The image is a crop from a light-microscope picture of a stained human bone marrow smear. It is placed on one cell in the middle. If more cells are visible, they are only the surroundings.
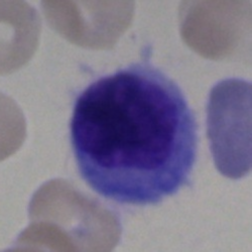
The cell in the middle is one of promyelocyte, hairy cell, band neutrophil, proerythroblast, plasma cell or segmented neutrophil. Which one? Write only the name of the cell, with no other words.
hairy cell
